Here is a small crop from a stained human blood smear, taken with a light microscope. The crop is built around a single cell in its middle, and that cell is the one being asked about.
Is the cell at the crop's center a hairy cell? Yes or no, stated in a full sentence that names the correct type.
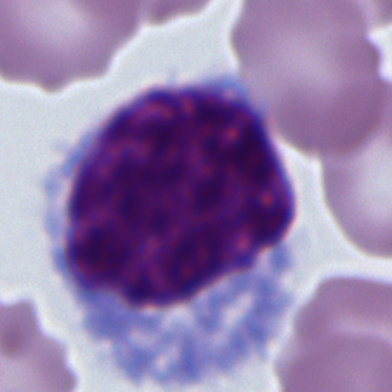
Yes, the cell lying in the middle is a hairy cell.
